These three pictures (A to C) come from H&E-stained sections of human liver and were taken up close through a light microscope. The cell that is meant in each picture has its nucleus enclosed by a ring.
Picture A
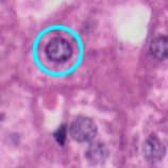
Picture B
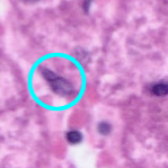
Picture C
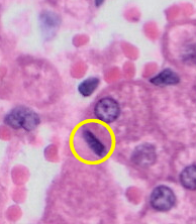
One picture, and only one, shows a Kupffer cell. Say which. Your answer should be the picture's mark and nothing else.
B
